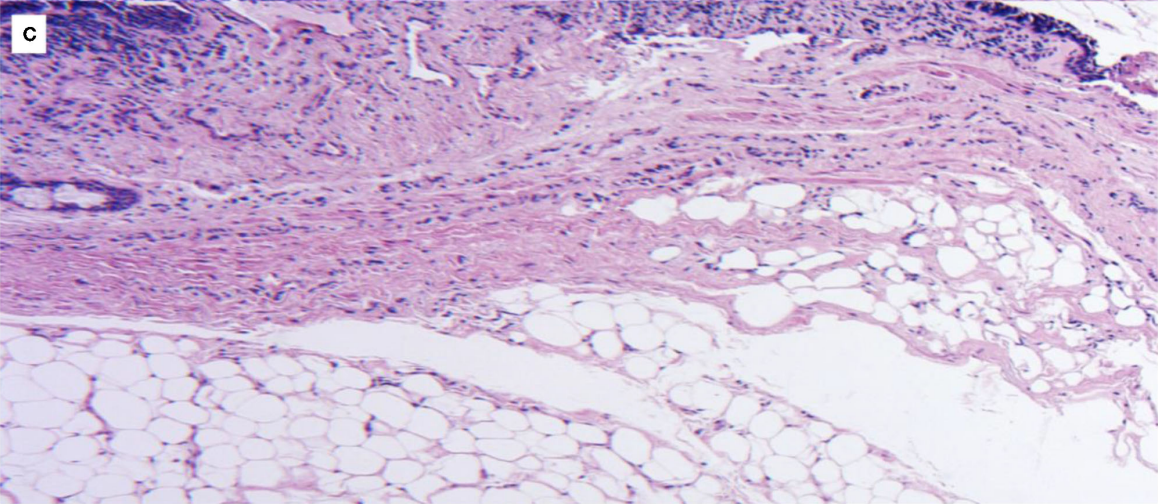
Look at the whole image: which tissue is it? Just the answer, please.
Mature fibroadipose tissue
